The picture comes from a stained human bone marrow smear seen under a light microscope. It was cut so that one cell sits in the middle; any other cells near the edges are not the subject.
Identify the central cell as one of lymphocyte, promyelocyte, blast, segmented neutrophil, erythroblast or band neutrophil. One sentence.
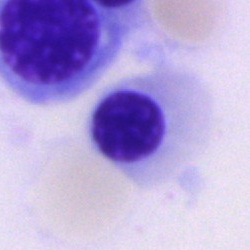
The crop shows an erythroblast in its centre.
